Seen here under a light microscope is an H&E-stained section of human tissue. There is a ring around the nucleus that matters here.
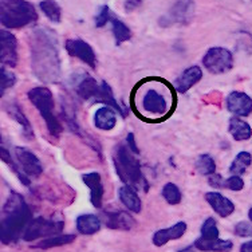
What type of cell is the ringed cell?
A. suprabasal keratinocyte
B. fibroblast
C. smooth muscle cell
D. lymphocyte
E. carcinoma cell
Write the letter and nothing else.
D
